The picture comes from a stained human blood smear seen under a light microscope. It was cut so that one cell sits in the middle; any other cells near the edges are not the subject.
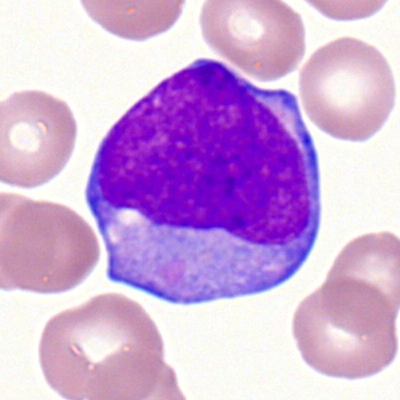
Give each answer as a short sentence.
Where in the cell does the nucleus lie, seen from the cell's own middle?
The nucleus lies toward the top of the cell.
